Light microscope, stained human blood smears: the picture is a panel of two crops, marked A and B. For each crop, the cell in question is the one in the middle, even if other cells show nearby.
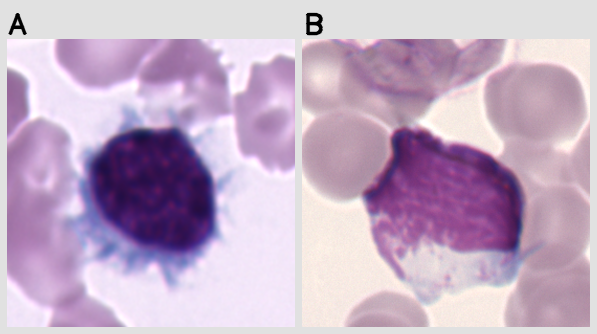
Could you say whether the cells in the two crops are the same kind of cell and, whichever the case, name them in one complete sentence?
No, it is in crop A that a hairy cell is shown, and in crop B that a large granular lymphocyte is shown.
